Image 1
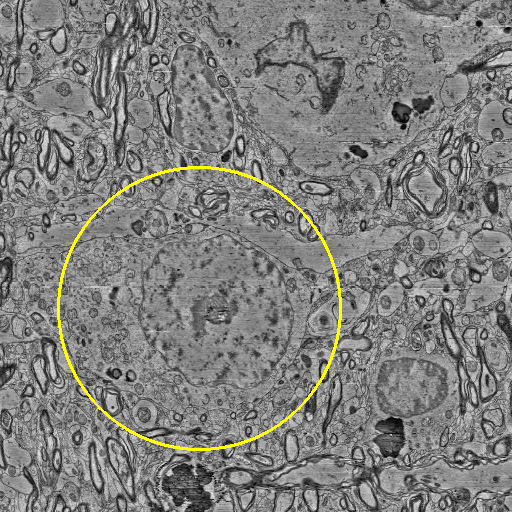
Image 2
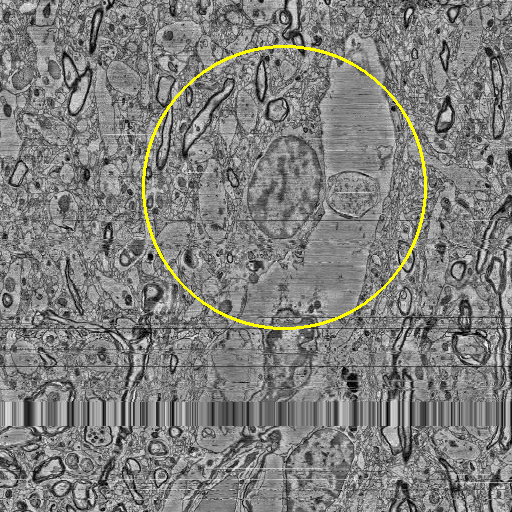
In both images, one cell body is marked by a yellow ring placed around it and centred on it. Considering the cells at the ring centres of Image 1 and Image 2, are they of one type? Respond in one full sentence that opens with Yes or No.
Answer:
No, two types apply to the ring-centred cells of Image 1 and Image 2.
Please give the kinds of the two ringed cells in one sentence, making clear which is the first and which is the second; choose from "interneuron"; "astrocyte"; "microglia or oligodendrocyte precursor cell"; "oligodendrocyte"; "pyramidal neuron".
In the second picture the ringed cell is an oligodendrocyte; in the first it is an interneuron.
